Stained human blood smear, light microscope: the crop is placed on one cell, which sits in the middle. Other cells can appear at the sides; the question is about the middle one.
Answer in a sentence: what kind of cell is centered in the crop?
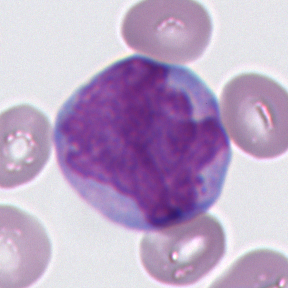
Whatever else lies nearby, the middle cell is an atypical promyelocyte.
